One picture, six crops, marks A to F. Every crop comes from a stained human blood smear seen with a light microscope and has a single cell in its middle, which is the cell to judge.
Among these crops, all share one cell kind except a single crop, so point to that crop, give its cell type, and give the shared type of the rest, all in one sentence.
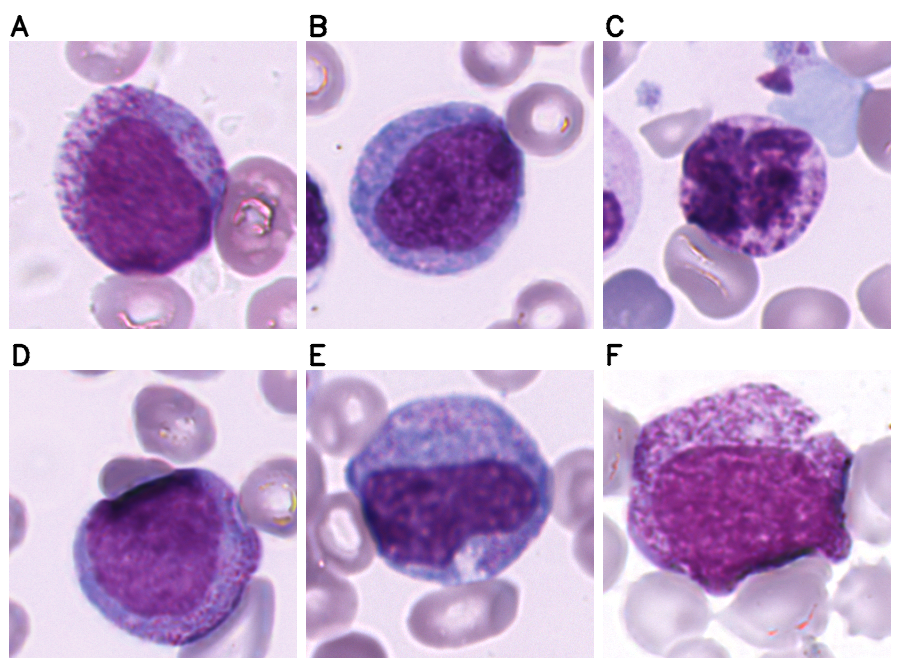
Only crop C differs, being a basophil, while the others all show promyelocytes.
